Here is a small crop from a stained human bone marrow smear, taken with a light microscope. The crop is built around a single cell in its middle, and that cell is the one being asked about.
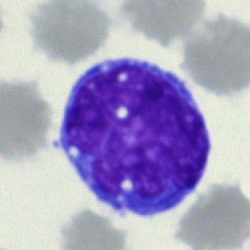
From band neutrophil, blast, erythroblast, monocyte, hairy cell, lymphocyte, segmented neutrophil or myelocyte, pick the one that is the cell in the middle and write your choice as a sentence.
The cell found in the middle of this crop is a monocyte.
